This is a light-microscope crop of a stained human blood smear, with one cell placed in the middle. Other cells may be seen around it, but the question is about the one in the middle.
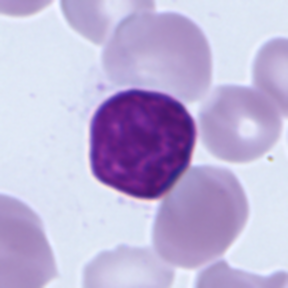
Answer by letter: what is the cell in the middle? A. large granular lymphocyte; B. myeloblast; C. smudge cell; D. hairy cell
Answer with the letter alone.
C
